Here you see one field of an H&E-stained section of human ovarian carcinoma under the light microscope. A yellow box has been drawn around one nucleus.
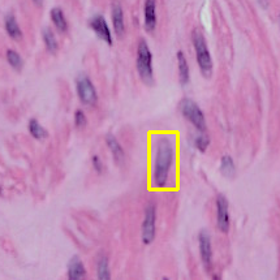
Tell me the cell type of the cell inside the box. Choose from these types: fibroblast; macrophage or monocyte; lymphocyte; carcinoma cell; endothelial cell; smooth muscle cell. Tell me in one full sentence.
Histopathologically, the cell inside the box is a smooth muscle cell.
